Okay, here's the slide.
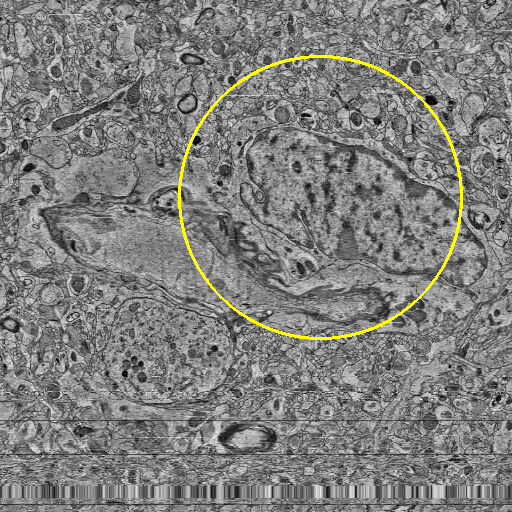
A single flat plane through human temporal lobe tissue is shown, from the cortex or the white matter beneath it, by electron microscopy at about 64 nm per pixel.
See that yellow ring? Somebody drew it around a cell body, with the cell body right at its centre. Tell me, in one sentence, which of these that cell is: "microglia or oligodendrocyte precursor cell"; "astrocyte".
The cell in the middle of the ring is a microglial cell or oligodendrocyte precursor cell.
